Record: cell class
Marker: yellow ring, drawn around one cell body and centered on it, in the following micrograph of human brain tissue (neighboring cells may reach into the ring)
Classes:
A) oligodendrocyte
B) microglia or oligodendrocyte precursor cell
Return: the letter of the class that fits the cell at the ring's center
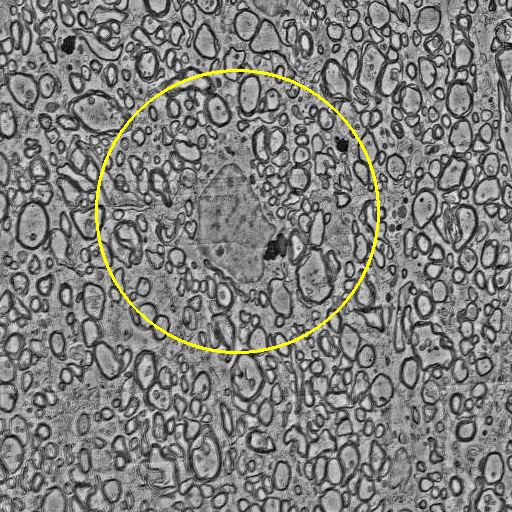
A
